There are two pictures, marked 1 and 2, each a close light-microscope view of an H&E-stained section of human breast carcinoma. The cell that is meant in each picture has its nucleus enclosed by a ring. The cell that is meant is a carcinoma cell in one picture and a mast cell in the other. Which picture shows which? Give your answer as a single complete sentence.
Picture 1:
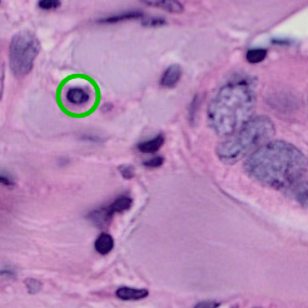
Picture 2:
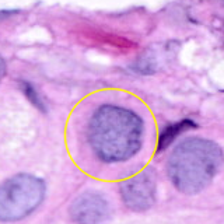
Picture 2 shows a carcinoma cell, while picture 1 shows a mast cell.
